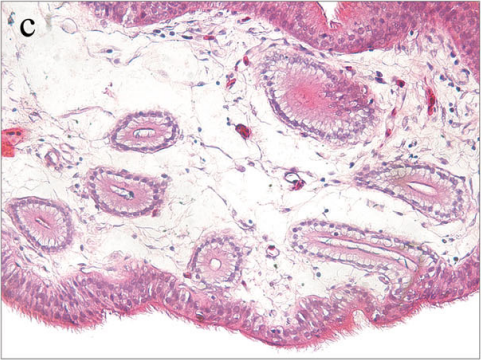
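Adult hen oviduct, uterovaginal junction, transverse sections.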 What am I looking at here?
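Within a mucosal fold covered on both sides by a columnar surface epithelium, several small round and elongated tubules lie scattered in loose, pale connective tissue. Each tubule is lined by a single layer of cuboidal to columnar cells with round nuclei set around a narrow central lumen. Some lumens hold pale pink material. Small blood vessels with red blood cells lie in the loose stroma between the tubules.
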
